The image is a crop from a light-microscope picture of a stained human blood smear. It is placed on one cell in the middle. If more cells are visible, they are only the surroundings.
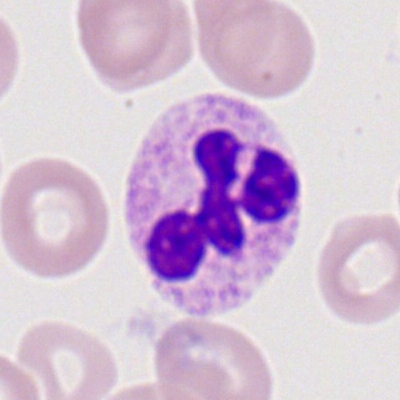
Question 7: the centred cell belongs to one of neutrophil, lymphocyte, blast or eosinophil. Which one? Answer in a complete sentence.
Classified as a neutrophil is the cell in the middle of this crop.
